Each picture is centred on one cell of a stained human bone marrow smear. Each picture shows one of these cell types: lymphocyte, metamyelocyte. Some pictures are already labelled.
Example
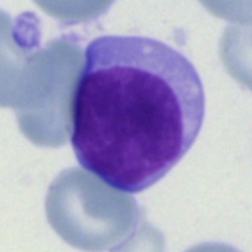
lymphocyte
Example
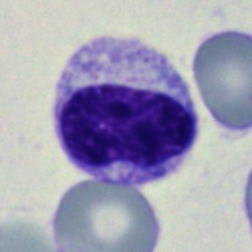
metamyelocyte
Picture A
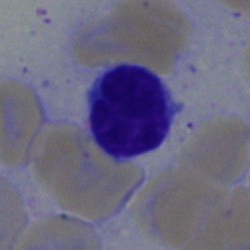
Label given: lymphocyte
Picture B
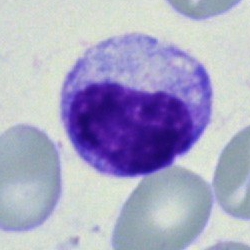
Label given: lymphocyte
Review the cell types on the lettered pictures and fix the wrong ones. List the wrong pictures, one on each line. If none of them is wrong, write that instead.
B: change lymphocyte to metamyelocyte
